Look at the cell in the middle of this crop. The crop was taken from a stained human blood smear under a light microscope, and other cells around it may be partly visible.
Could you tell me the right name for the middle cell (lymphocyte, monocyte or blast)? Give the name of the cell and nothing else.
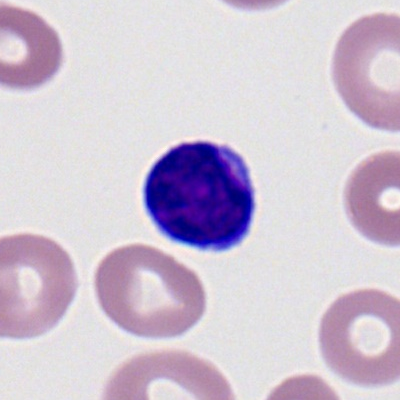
lymphocyte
